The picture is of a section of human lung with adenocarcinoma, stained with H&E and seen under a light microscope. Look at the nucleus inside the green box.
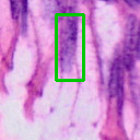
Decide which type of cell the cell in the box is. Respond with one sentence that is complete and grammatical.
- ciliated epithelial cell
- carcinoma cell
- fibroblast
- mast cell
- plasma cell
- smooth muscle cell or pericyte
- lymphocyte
As far as its identity is concerned, the cell in the box is a ciliated epithelial cell.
